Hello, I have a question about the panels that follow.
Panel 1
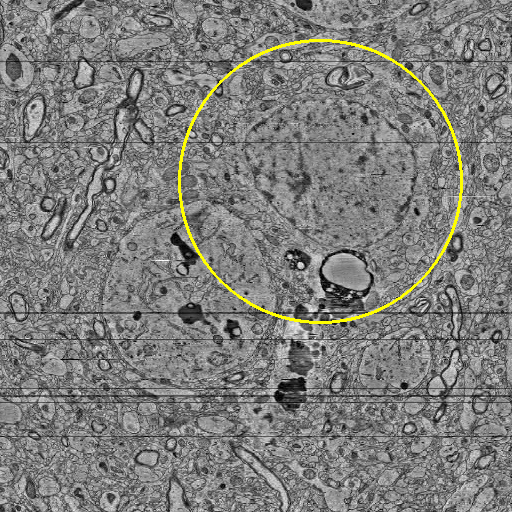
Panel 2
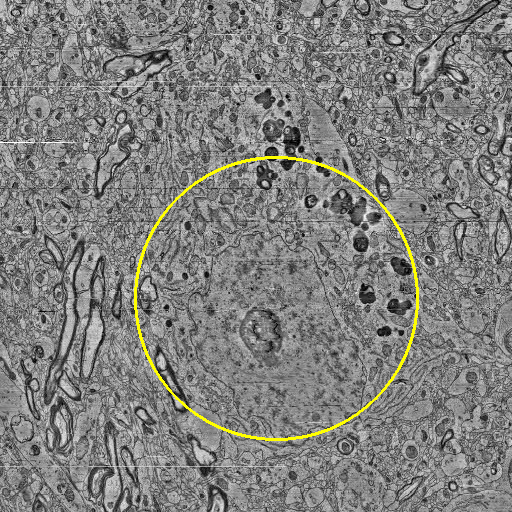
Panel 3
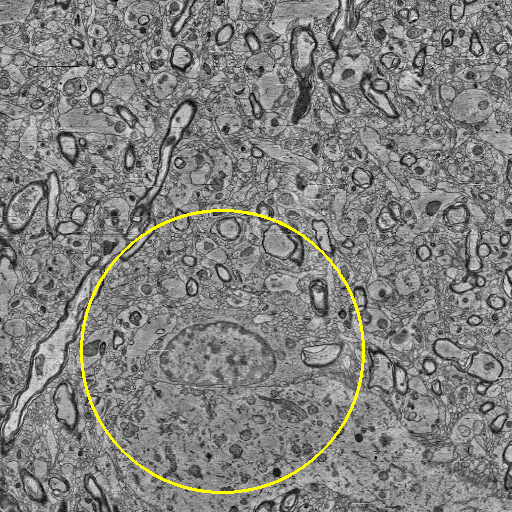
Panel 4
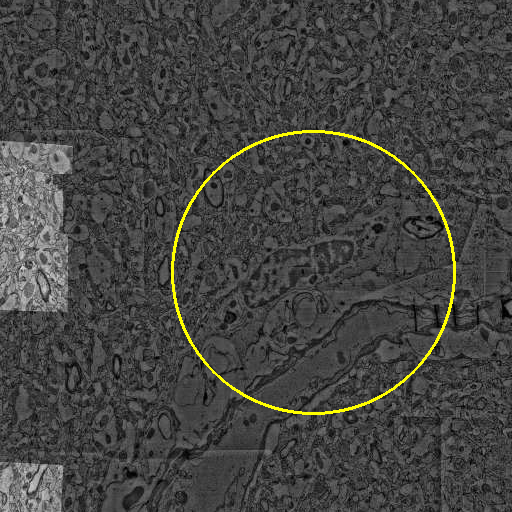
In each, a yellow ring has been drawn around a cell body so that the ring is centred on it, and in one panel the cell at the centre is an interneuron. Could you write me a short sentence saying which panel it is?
It is Panel 2.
